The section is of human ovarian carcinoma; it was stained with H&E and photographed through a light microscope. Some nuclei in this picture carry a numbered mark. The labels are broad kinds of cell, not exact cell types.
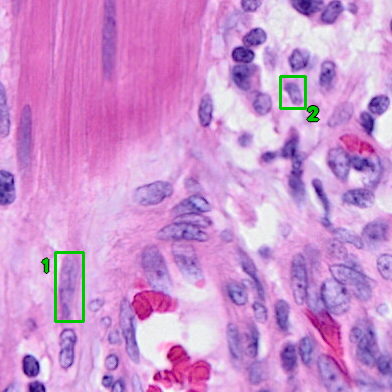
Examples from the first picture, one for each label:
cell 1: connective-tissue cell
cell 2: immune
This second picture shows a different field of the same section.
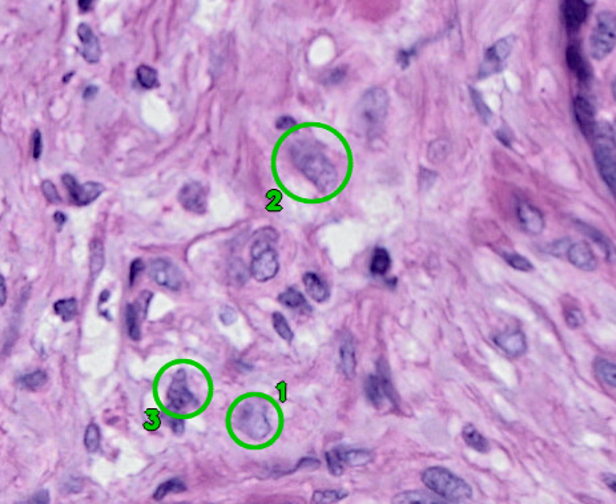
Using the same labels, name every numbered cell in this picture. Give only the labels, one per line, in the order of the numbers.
connective-tissue cell
connective-tissue cell
immune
